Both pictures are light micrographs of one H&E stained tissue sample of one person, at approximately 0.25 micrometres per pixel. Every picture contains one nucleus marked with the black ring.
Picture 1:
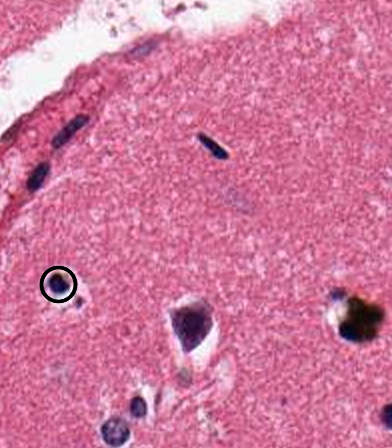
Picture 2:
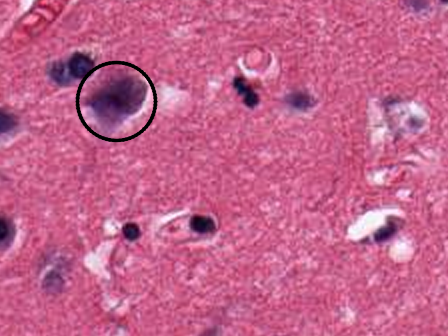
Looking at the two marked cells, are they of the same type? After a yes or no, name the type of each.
No, the first is an oligodendrocyte and the second a neuron.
